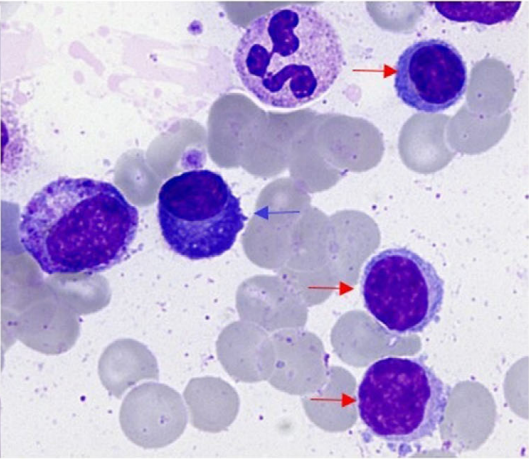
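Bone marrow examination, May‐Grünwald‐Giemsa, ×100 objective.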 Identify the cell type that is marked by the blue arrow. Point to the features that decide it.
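Nucleus pushed to one side of the cell. Deep blue cytoplasm.
Hence: Plasma cells.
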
